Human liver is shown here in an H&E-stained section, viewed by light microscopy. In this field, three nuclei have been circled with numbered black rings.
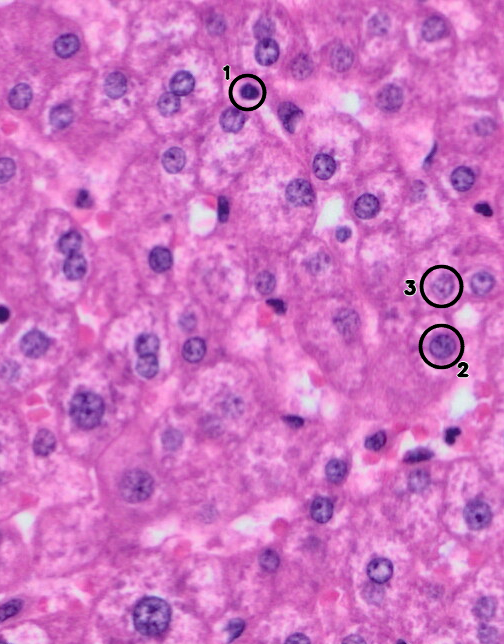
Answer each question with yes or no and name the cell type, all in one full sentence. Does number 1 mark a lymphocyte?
Yes, the cell that bears number 1 is a lymphocyte.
